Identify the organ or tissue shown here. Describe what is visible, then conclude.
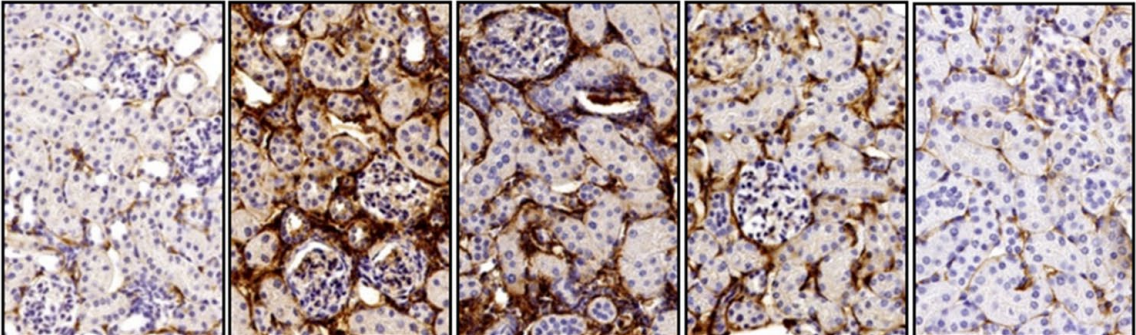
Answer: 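Kidney. Densely packed round tubular profiles lined by cuboidal epithelial cells with blue nuclei. Round tufts of tightly clustered nuclei forming glomeruli between the tubules.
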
